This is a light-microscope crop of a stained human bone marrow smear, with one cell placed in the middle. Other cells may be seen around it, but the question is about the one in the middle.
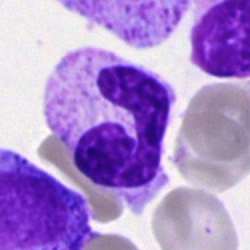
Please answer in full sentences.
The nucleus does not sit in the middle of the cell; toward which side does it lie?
Seen from the middle of the cell, the nucleus lies toward the right.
